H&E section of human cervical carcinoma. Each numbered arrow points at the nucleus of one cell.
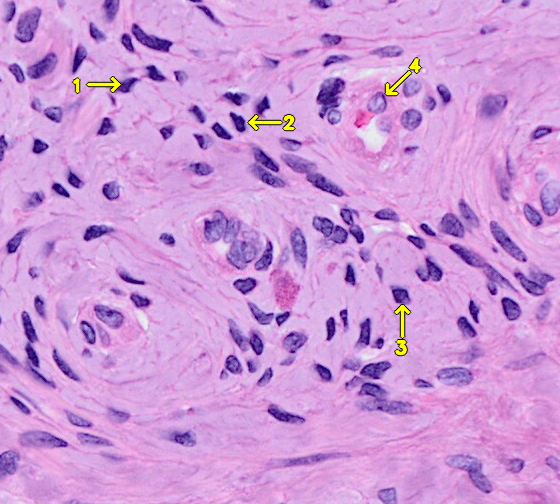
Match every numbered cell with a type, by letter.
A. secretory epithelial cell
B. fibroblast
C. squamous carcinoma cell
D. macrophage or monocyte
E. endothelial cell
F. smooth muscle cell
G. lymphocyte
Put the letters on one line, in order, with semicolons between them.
B; B; B; E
